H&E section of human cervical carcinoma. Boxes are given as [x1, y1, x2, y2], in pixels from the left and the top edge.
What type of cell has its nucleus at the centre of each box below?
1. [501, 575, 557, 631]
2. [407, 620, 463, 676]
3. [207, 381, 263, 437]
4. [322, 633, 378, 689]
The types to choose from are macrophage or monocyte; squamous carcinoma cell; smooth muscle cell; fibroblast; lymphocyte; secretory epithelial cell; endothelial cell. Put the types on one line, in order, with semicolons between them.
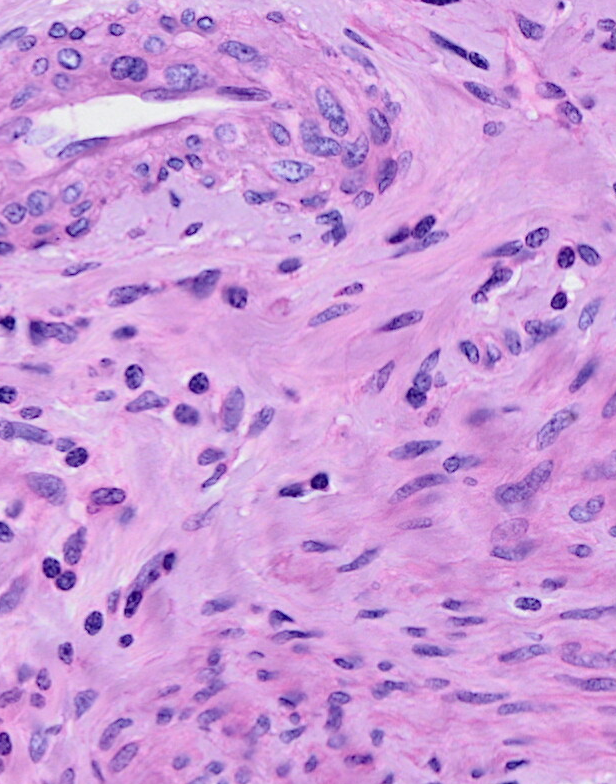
lymphocyte; fibroblast; fibroblast; smooth muscle cell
